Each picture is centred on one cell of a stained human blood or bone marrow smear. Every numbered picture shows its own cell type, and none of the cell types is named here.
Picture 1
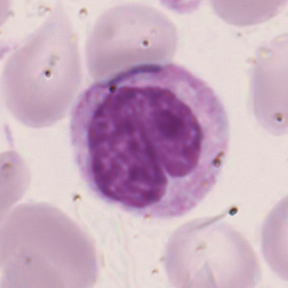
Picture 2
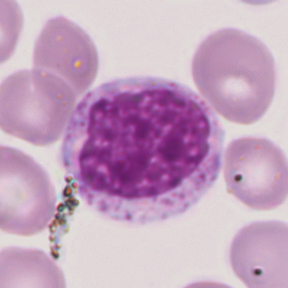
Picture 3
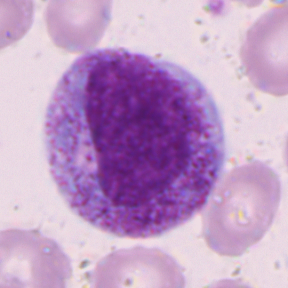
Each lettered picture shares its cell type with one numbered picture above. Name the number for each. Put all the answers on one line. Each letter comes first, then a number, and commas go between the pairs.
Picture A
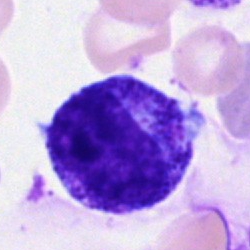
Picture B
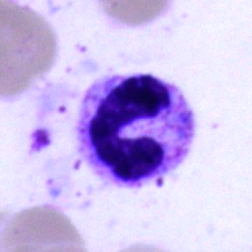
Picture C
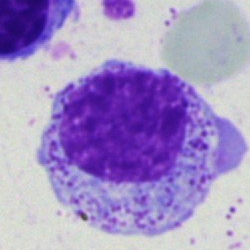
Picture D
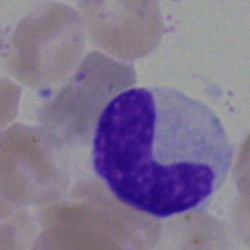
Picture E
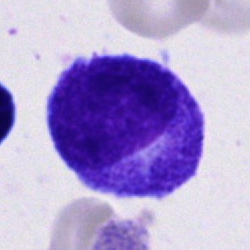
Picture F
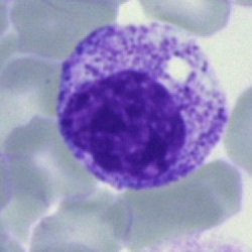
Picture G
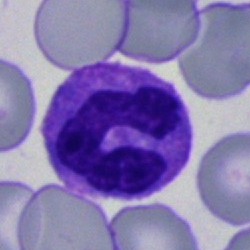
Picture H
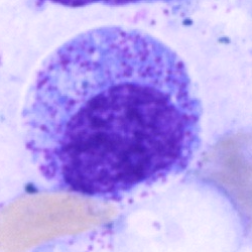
A 3, B 1, C 2, D 1, E 3, F 2, G 1, H 3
